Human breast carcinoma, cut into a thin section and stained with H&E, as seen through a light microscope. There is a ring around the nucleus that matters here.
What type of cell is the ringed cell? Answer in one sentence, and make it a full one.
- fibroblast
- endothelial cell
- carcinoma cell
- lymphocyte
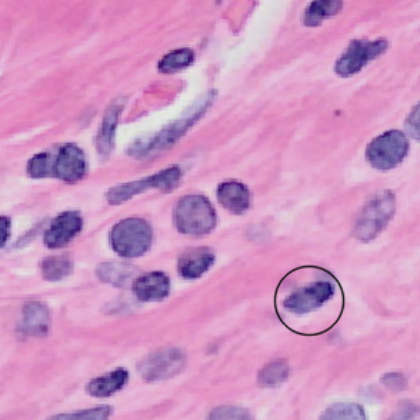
In this tissue sample, the ringed cell is a lymphocyte.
